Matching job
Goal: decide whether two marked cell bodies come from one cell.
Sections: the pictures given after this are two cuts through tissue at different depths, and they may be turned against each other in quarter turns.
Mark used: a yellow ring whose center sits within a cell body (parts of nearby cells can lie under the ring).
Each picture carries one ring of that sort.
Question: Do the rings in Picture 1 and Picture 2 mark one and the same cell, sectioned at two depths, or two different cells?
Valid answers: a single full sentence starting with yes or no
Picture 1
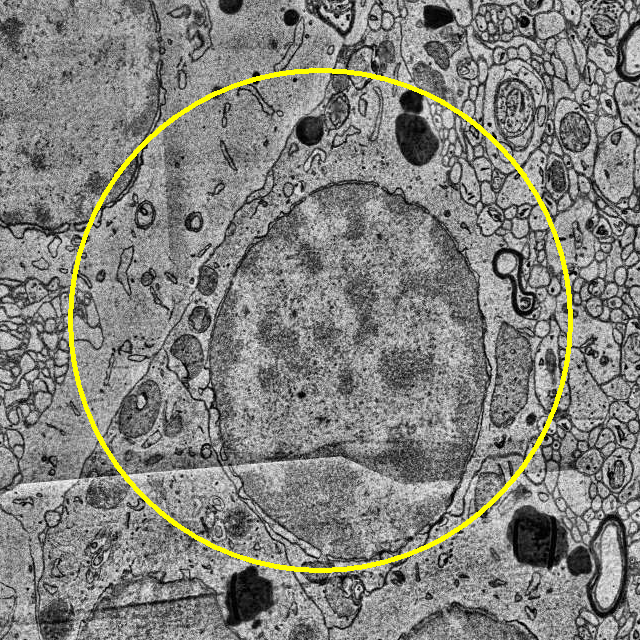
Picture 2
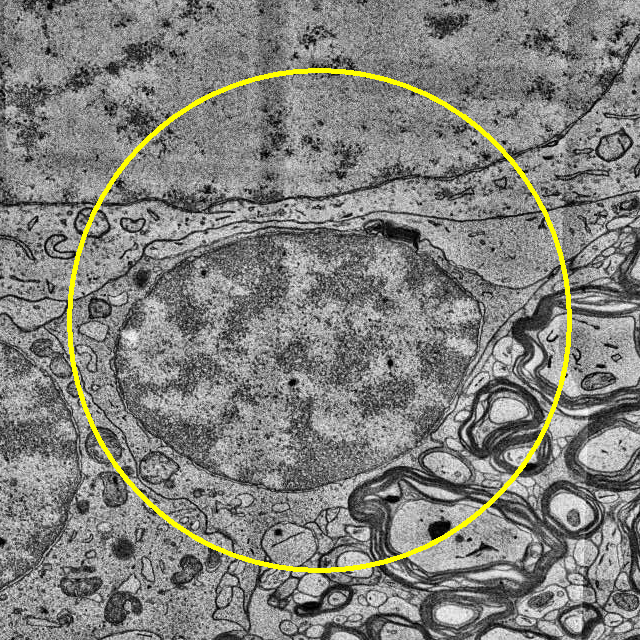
No, what the two rings mark is two different cells.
